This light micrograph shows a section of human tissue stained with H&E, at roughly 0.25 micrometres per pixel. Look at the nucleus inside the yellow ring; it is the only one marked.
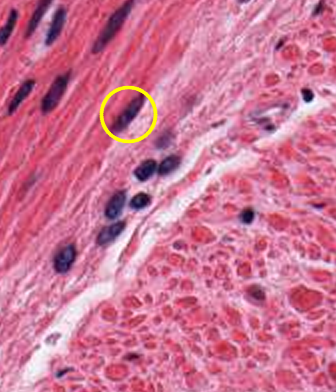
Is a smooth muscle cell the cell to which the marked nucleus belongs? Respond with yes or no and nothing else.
yes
